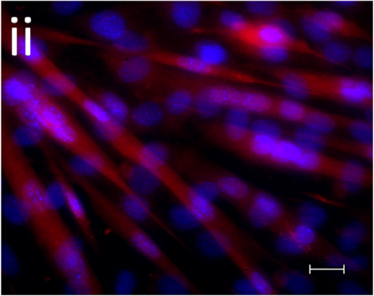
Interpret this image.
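Long, slender myotubes run roughly parallel across the field, stained red along their length. Blue nuclei lie strung out in rows within the fibres, with other nuclei scattered between them. The red label fills the cytoplasm of the fibres fairly evenly, with little sign of distinct dots. These are fused, elongated myotubes with diffuse cytoplasmic staining.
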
